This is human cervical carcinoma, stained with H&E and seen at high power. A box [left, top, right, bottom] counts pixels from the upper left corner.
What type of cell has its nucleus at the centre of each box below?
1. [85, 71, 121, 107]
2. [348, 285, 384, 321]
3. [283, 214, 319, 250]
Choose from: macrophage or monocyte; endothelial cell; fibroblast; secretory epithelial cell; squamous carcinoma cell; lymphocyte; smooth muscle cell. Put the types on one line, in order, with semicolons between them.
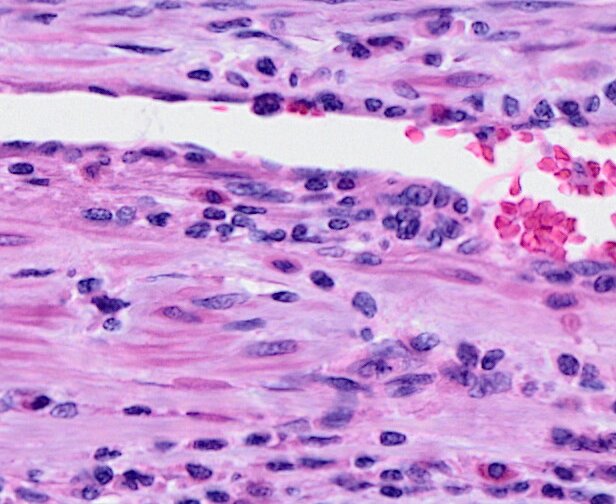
endothelial cell; lymphocyte; lymphocyte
